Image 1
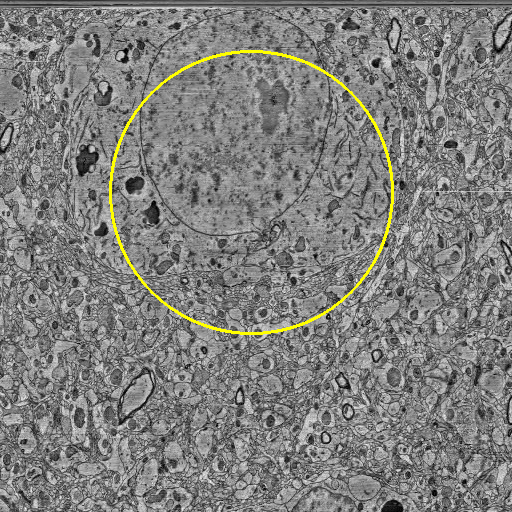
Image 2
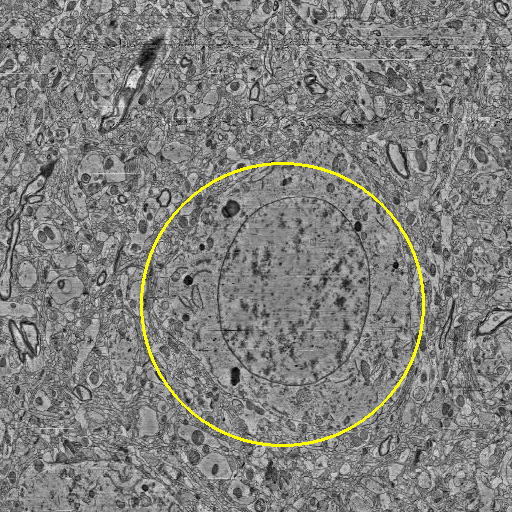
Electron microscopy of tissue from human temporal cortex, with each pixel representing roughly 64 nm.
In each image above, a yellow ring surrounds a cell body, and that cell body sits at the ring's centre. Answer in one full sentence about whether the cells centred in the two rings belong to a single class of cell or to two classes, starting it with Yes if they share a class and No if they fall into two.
Yes, the cells centred in the two yellow rings belong to a single class of cell.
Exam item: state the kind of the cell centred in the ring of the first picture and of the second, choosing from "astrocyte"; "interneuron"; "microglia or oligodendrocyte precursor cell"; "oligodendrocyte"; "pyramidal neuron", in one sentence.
Each cell at the centre of a ring is a pyramidal neuron.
